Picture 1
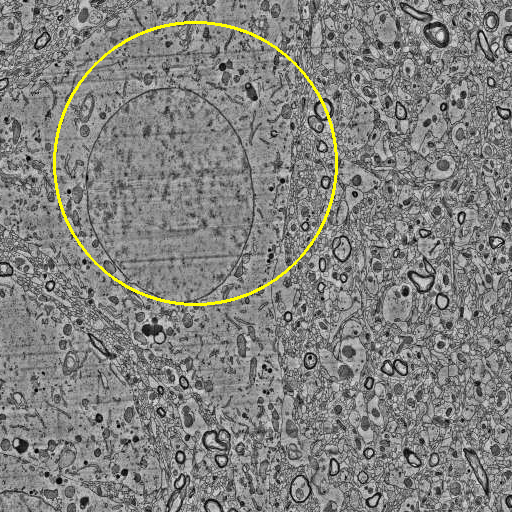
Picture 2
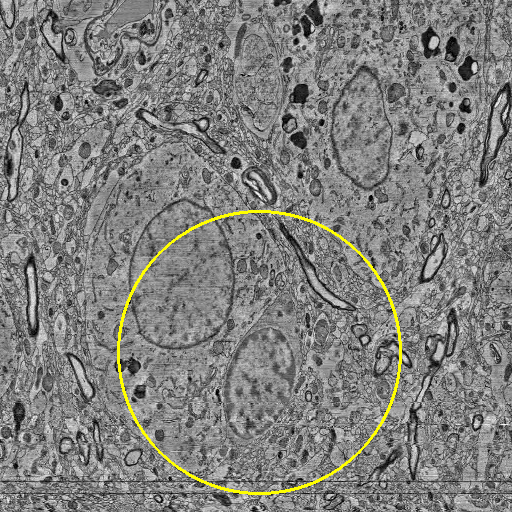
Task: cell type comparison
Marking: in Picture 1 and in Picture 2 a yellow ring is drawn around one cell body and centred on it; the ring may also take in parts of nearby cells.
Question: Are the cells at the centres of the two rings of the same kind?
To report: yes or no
no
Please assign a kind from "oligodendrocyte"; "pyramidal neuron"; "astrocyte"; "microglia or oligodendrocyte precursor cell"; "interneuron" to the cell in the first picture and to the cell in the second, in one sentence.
In the first picture we have a pyramidal neuron, and in the second, an oligodendrocyte.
